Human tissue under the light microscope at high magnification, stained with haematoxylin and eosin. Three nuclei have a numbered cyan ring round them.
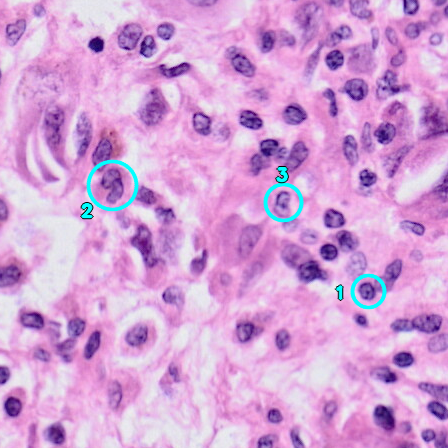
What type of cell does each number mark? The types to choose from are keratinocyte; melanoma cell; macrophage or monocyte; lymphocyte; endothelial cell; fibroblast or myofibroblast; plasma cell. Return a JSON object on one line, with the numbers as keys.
{"1": "lymphocyte", "2": "macrophage or monocyte", "3": "lymphocyte"}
